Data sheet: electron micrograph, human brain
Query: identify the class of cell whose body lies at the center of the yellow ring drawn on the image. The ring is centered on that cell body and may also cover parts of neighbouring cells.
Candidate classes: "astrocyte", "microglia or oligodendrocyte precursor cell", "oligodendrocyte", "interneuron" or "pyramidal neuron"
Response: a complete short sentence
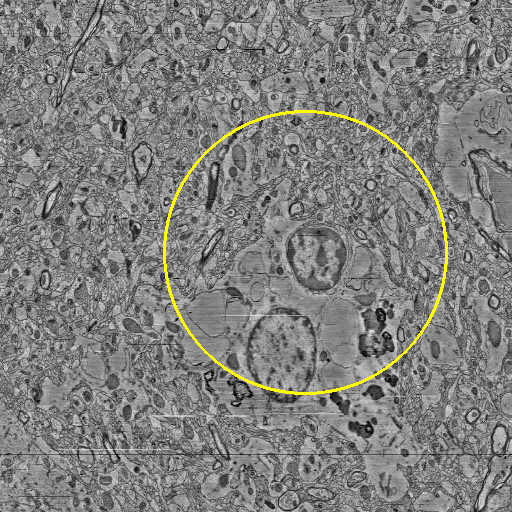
At the center of the ring lies a microglial cell or oligodendrocyte precursor cell.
